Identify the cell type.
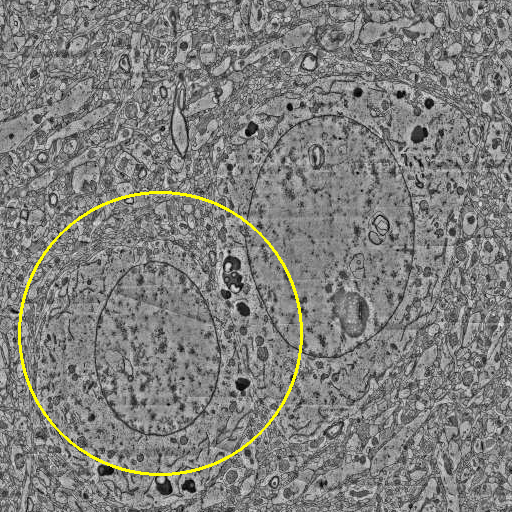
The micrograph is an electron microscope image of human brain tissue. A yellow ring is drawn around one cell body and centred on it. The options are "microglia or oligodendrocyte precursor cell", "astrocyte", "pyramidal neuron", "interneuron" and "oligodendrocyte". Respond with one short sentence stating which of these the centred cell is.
The cell body in the ring belongs to a pyramidal neuron.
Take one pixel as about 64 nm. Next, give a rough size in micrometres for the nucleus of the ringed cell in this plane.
Roughly 11 micrometres by 8 micrometres, in this plane.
